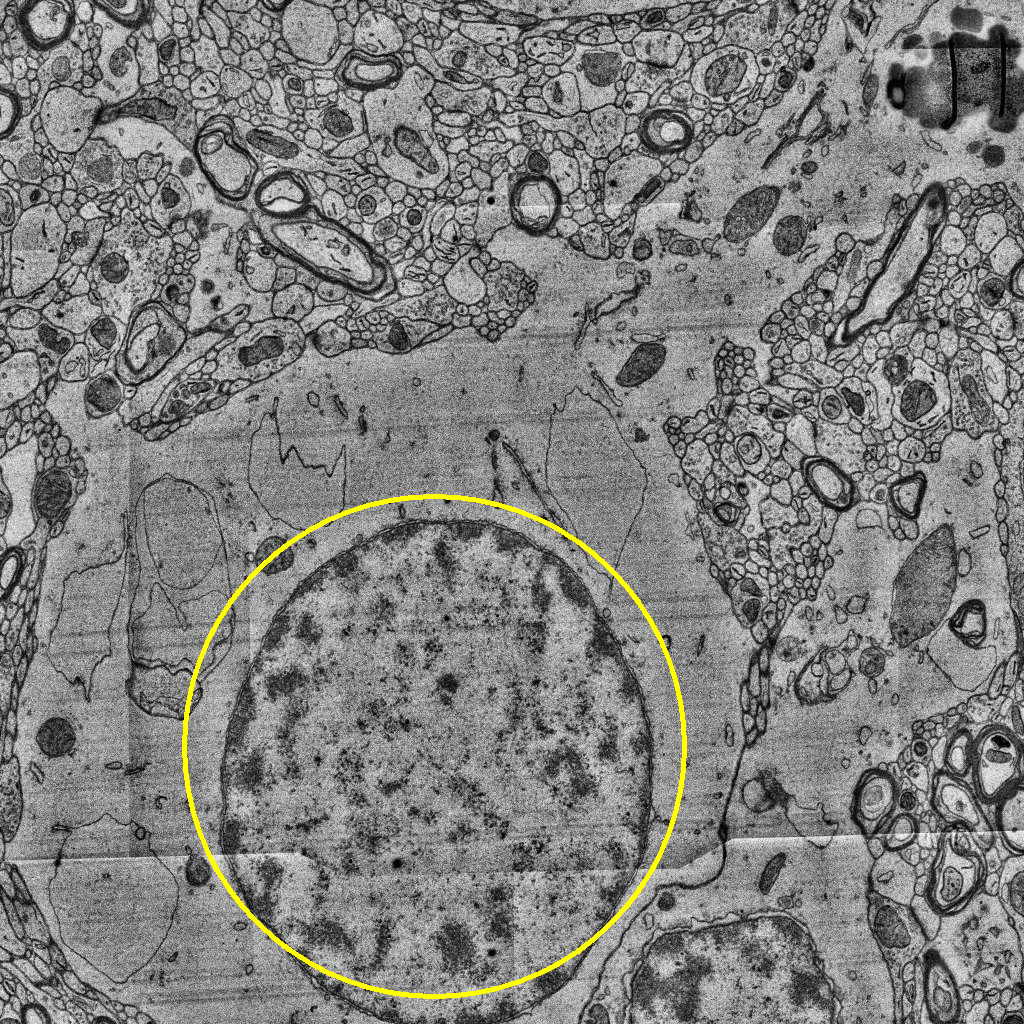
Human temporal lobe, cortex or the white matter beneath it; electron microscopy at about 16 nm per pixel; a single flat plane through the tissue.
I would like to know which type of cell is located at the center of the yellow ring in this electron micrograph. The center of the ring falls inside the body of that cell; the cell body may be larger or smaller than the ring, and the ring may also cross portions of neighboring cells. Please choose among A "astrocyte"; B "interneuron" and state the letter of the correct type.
A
